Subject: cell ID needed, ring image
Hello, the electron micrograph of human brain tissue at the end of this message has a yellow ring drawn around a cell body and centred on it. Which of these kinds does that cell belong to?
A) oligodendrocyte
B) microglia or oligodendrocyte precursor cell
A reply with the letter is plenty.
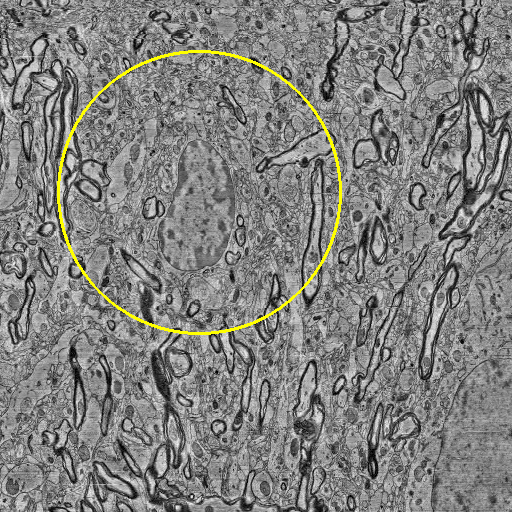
B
